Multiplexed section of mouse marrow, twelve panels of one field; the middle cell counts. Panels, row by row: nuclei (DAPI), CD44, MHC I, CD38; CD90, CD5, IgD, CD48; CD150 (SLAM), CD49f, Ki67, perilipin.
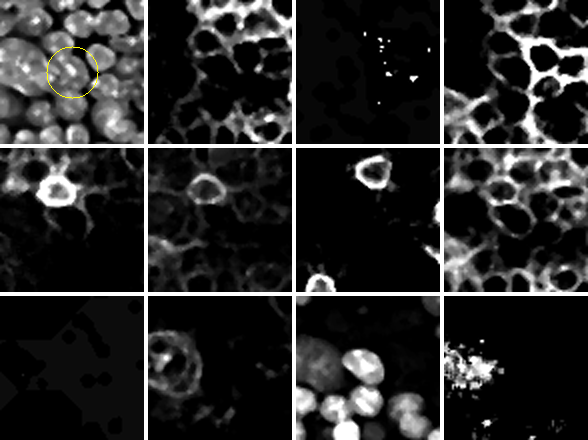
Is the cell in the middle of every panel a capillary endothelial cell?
Yes, it is a capillary endothelial cell.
